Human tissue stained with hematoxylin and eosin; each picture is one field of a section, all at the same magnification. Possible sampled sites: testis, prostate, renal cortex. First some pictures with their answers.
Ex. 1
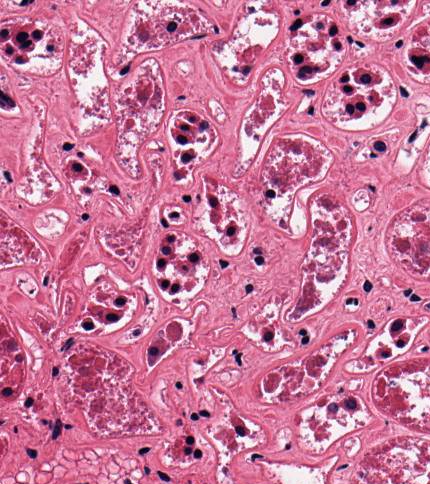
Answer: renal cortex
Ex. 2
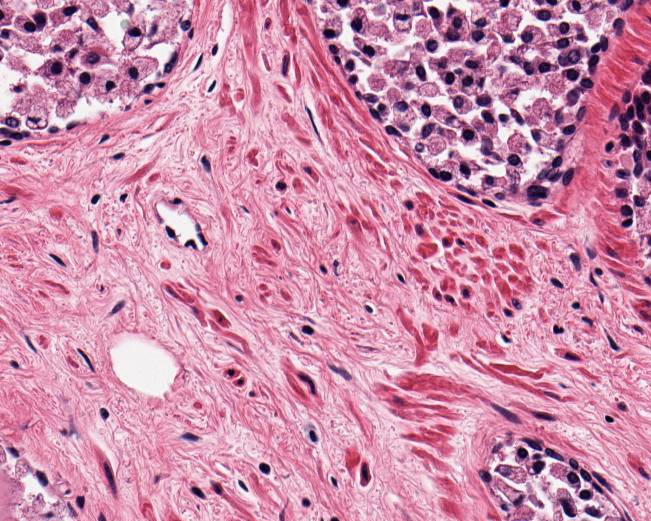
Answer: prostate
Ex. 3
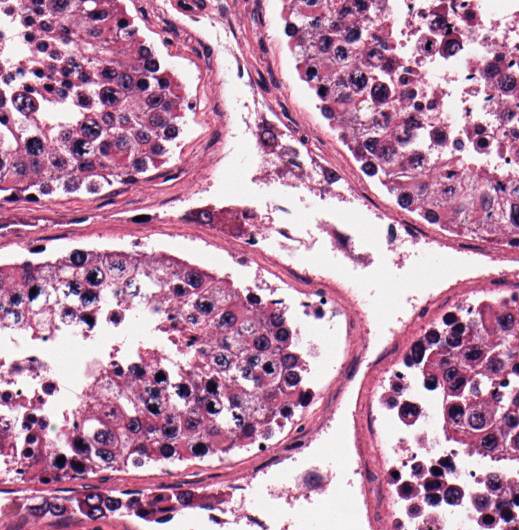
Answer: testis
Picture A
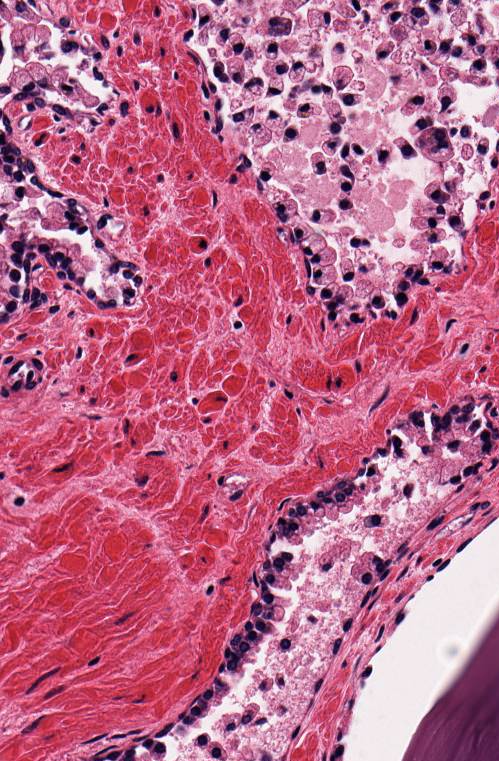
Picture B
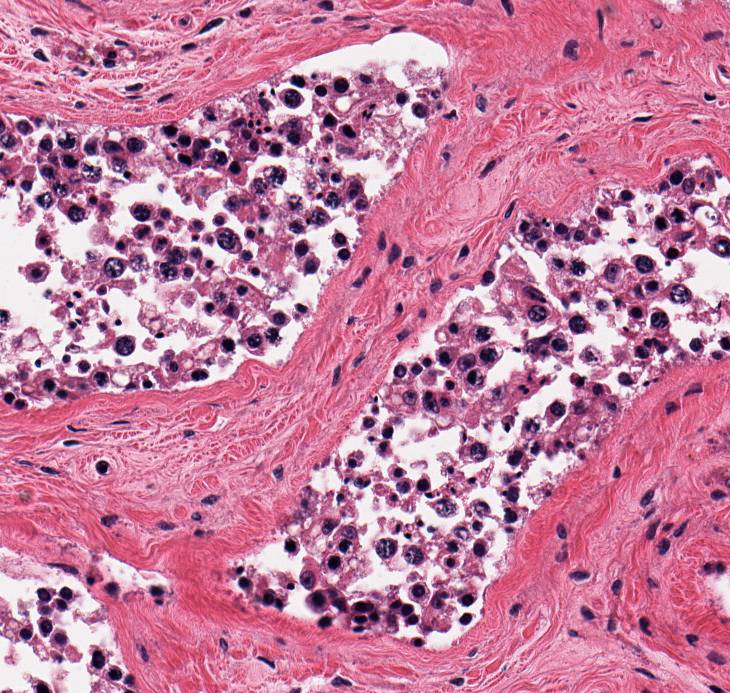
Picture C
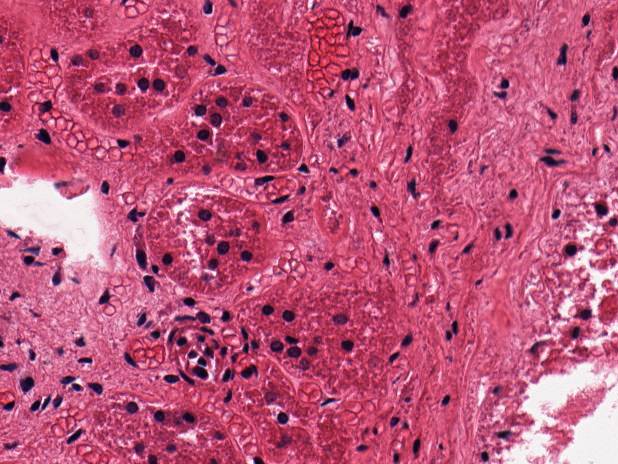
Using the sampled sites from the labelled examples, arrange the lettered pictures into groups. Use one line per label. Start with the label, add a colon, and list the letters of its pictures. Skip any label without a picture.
testis: B
prostate: A
renal cortex: C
